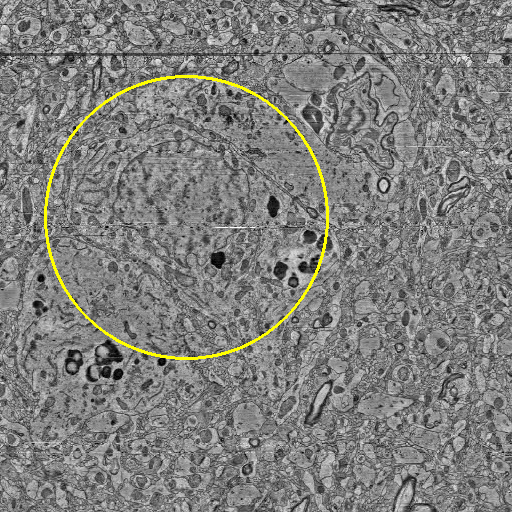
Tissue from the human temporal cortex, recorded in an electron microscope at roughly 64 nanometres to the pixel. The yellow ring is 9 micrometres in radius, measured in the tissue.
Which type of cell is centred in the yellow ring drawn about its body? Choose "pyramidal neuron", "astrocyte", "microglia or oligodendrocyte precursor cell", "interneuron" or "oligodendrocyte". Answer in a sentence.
The yellow ring surrounds the cell body of an interneuron.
